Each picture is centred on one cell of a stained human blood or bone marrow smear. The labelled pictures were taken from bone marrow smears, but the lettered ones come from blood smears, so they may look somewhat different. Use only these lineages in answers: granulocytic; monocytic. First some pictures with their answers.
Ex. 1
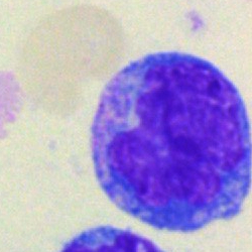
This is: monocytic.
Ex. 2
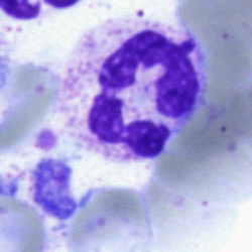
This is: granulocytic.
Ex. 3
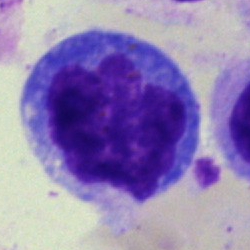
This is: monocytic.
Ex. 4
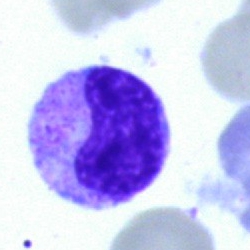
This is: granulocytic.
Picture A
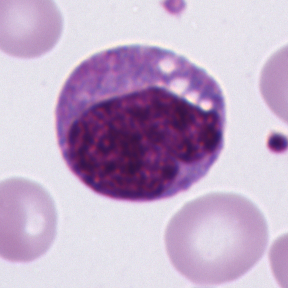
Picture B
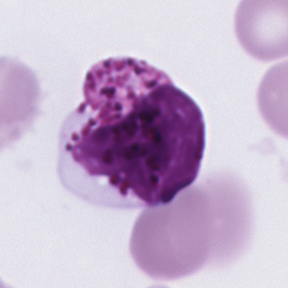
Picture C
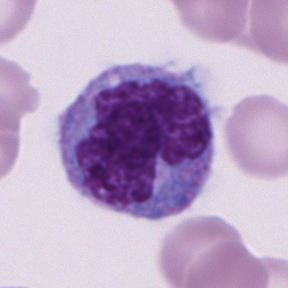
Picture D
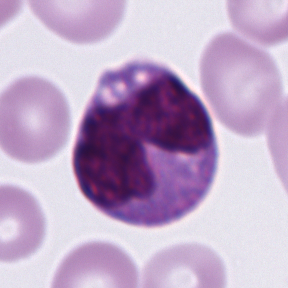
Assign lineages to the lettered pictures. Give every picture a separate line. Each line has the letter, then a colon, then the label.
A: monocytic.
B: granulocytic.
C: monocytic.
D: monocytic.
